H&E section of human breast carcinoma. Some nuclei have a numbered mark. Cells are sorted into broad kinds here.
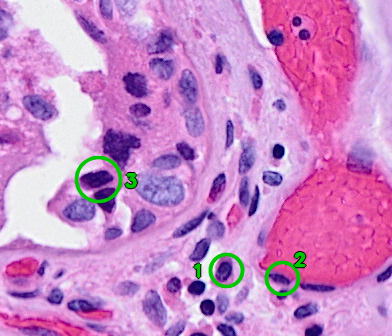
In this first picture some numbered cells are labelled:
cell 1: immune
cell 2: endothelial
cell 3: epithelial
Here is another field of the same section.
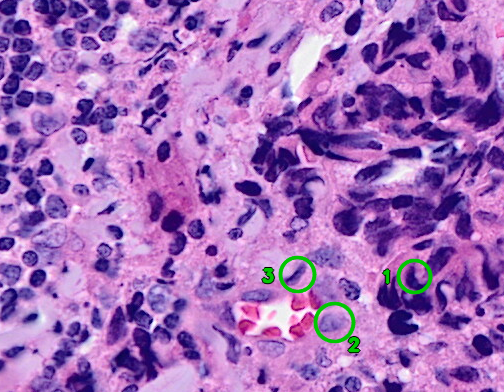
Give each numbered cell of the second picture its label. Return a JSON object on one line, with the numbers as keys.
{"1": "epithelial", "2": "endothelial", "3": "endothelial"}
